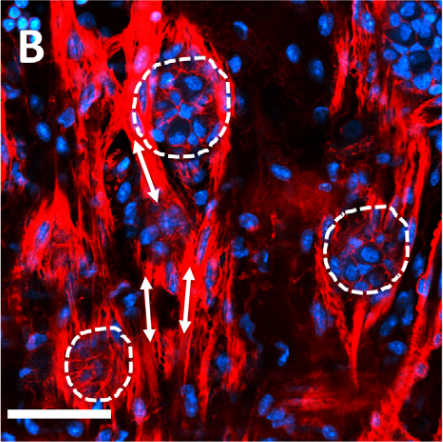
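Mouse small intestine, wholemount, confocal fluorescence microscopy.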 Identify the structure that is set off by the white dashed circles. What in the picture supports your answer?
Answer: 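Each circle encloses a round cluster of tightly packed nuclei. The clusters are surrounded by red fibres. On this evidence: base of crypts.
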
